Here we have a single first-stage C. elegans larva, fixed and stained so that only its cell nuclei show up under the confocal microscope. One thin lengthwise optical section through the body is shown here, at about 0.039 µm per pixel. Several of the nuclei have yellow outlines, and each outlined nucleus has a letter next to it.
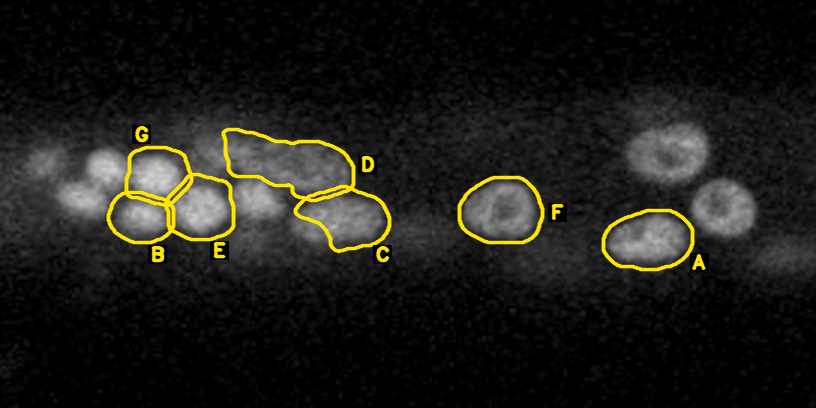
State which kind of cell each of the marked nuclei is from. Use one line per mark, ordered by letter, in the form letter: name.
A: P cell (ventral epidermal blast cell)
B: neuron
C: P cell (ventral epidermal blast cell)
D: hypodermal cell (hyp)
E: neuron
F: seam cell
G: neuron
